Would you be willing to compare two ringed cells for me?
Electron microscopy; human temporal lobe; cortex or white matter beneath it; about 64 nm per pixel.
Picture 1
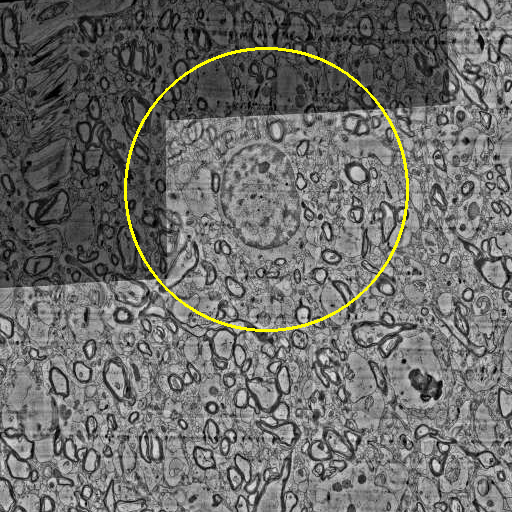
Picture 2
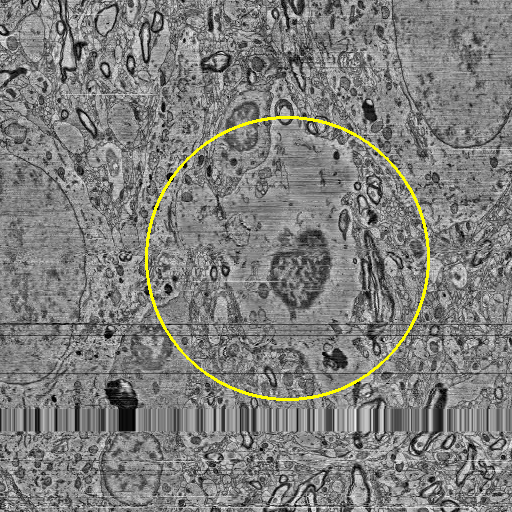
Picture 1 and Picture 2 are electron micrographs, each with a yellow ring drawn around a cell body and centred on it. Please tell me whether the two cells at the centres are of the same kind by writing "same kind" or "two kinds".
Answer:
two kinds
